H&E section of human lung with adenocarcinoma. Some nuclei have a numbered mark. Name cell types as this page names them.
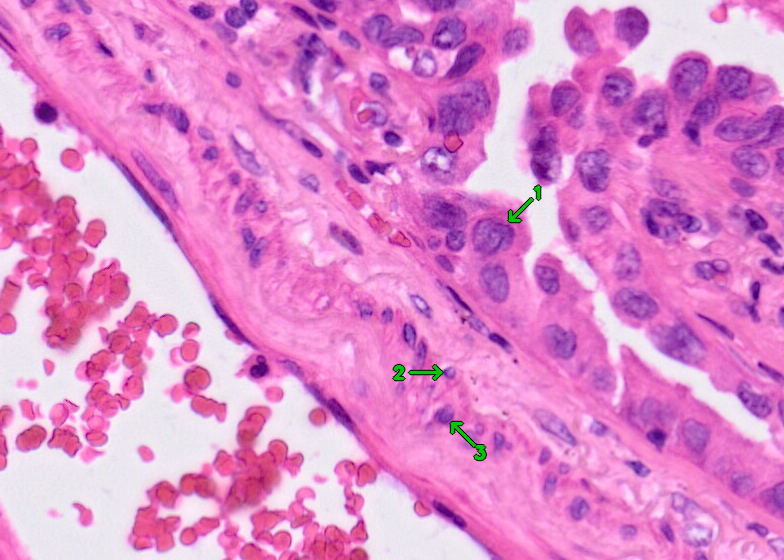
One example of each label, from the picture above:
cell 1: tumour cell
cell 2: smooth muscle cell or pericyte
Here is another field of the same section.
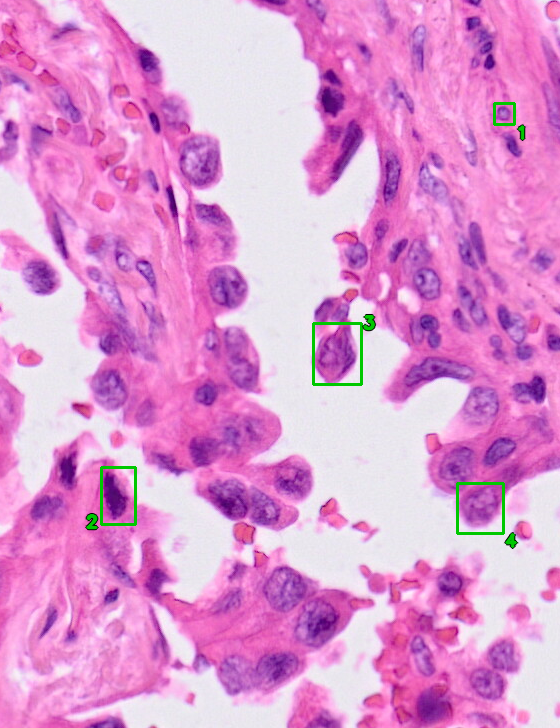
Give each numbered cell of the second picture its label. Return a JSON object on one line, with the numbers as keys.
{"1": "smooth muscle cell or pericyte", "2": "tumour cell", "3": "tumour cell", "4": "tumour cell"}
